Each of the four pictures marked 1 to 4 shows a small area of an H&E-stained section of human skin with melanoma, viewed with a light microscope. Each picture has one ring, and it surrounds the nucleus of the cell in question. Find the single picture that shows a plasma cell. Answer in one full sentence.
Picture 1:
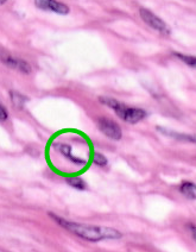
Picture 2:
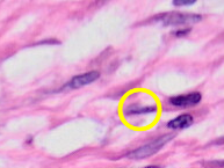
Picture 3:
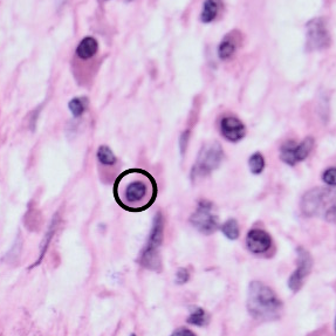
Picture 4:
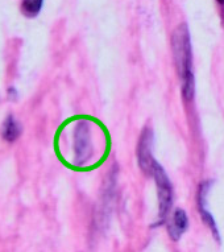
It is picture 3 that shows the plasma cell.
